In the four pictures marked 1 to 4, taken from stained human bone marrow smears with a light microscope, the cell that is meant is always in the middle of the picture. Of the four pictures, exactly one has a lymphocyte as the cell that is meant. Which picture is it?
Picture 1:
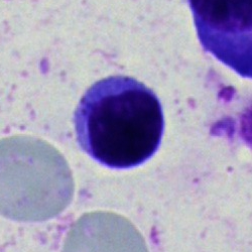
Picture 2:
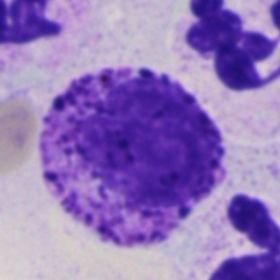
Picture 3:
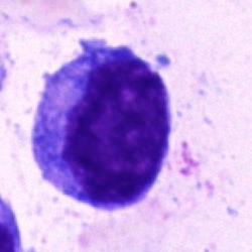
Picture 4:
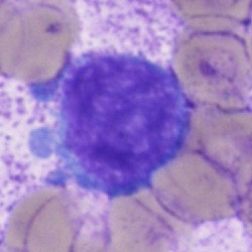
1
